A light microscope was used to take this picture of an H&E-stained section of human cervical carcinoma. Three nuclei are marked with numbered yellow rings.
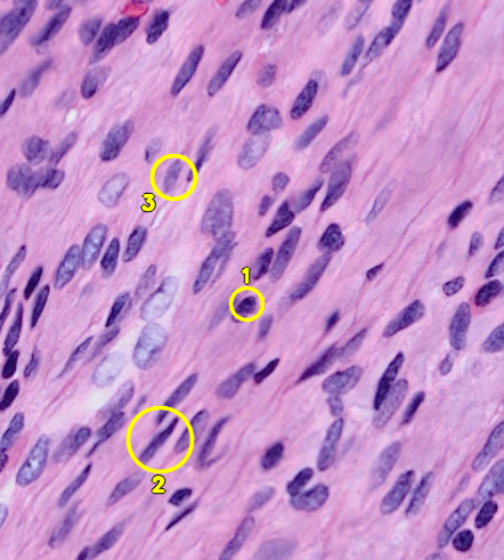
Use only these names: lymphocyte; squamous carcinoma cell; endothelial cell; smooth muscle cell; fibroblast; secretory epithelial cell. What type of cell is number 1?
lymphocyte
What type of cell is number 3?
fibroblast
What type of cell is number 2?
fibroblast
